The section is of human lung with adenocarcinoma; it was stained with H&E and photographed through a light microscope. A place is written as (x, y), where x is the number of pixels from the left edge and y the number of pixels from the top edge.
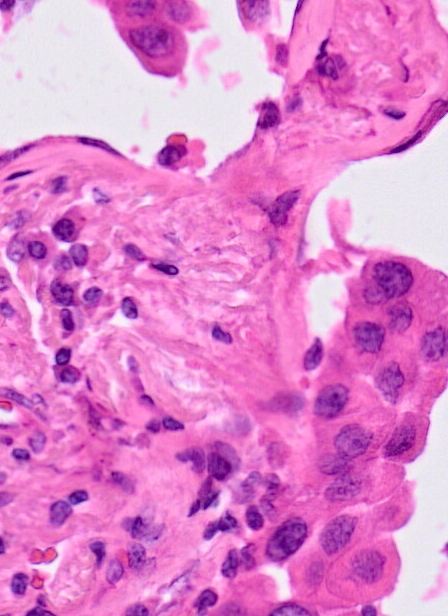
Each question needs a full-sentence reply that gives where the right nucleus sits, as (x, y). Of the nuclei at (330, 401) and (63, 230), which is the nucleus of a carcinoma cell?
Housed in a carcinoma cell is the nucleus at (330, 401), not the other one.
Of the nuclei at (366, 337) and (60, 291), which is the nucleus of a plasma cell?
Among the two nuclei, the one found at (60, 291) belongs to a plasma cell.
